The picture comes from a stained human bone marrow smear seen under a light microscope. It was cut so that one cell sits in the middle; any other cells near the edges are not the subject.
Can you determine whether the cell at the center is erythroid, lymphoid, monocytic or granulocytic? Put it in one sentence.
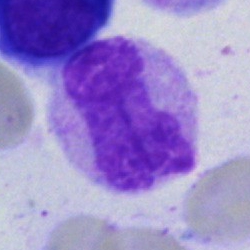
Lineage assignment for the central cell is granulocytic.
